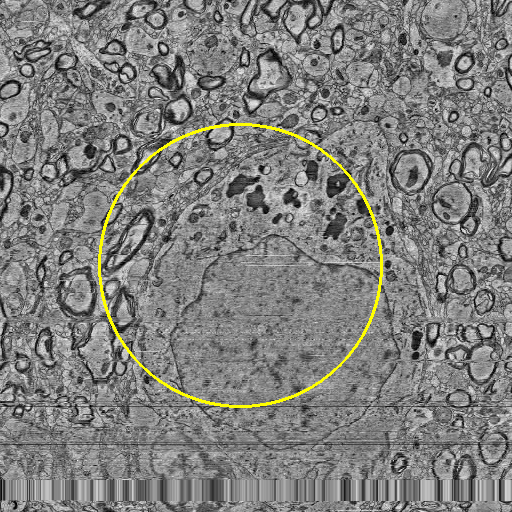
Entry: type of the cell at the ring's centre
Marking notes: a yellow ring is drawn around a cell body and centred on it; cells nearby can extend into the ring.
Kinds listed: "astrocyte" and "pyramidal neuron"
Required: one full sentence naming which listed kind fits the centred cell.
My entry names a pyramidal neuron as the cell whose body the yellow ring centres on.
